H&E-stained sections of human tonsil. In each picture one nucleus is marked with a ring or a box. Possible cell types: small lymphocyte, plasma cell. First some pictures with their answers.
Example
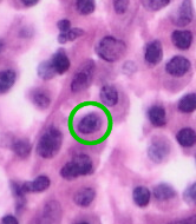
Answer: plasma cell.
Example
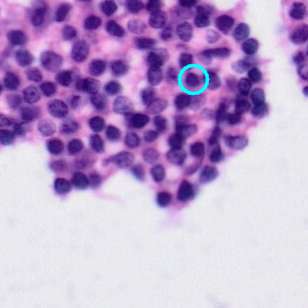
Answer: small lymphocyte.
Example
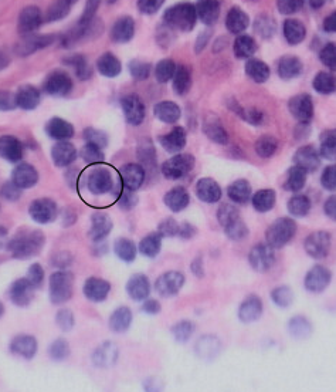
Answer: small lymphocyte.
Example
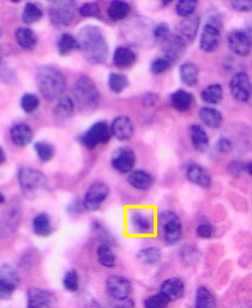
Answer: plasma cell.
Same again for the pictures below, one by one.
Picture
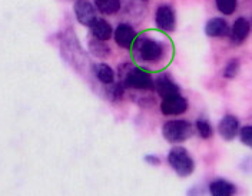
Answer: small lymphocyte.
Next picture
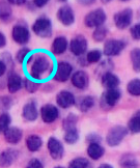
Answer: small lymphocyte.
